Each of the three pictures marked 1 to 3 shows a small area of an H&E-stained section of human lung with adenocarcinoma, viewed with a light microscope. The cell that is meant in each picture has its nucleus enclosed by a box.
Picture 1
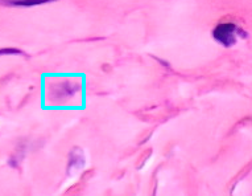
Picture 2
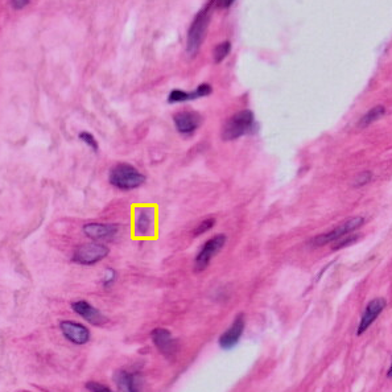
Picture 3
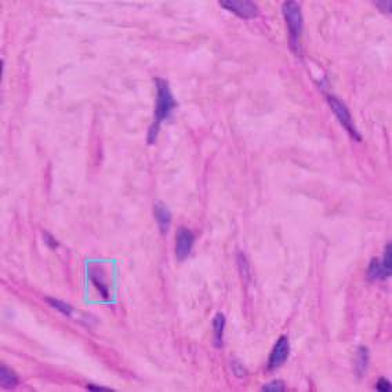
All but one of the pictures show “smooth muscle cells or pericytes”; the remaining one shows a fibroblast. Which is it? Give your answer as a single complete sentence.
The fibroblast is the one in picture 1.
